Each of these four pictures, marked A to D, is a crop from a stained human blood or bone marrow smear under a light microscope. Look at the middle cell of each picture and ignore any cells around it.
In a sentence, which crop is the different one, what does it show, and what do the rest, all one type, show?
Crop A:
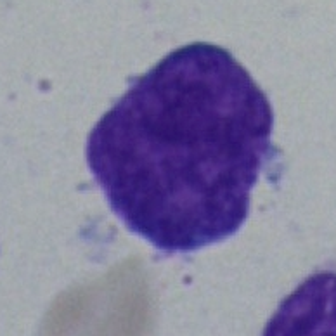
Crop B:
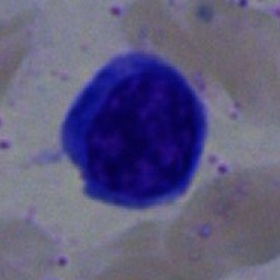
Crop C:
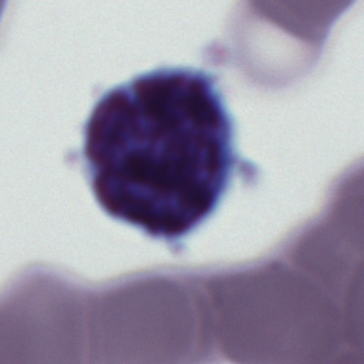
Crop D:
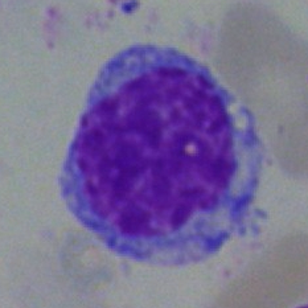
Every crop but one shows lymphocytes; the exception, crop D, shows a plasma cell.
